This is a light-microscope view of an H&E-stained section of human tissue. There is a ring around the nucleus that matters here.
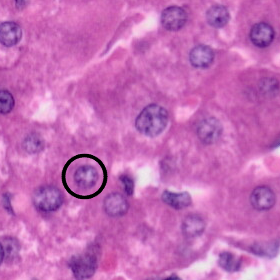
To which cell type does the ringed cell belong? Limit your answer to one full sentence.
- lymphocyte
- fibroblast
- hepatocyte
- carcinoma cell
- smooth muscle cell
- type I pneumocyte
In cellular terms, the ringed cell is a hepatocyte.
